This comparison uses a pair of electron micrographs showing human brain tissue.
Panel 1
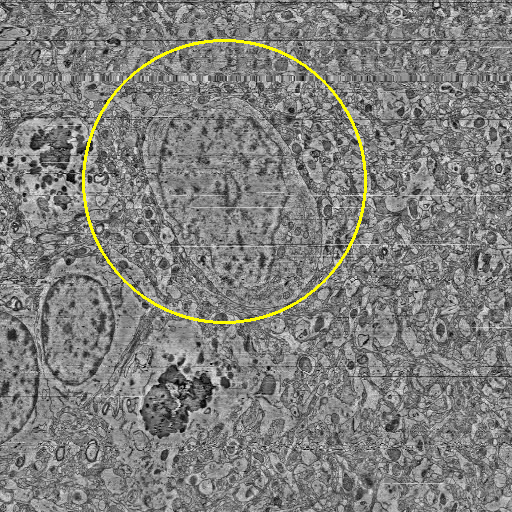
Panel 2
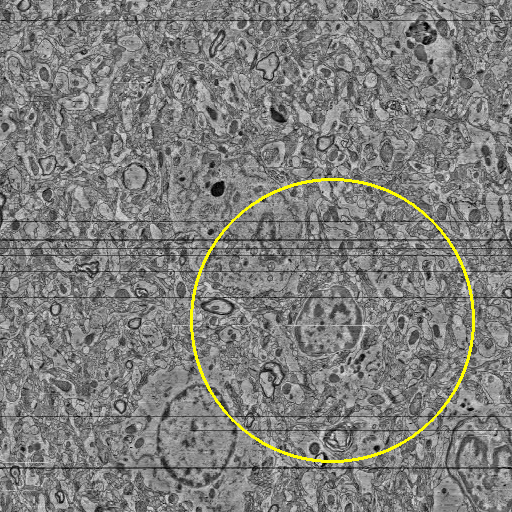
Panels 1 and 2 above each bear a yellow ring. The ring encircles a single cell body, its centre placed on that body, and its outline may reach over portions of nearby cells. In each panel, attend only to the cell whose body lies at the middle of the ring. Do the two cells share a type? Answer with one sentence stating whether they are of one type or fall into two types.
In Panel 1 and Panel 2, the cells at the centres of the rings fall into two types.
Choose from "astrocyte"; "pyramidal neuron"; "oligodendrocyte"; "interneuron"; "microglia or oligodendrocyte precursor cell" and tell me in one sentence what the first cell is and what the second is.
What the first ring is centred on is an interneuron; what the second ring is centred on is a microglial cell or oligodendrocyte precursor cell.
